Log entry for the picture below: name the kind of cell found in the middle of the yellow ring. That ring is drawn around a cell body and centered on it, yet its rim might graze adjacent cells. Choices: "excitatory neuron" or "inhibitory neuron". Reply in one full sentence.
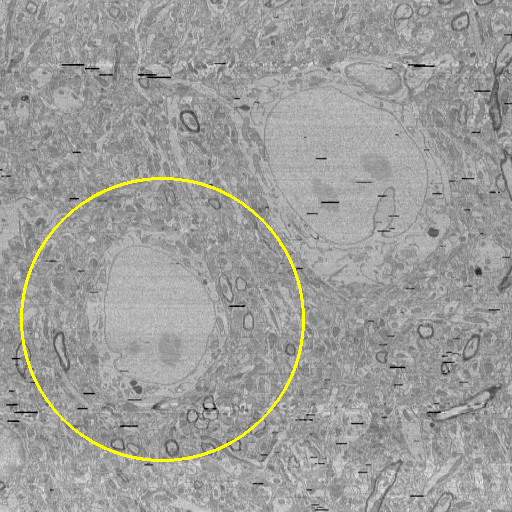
The cell in the middle of the yellow ring in this picture is an excitatory neuron.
